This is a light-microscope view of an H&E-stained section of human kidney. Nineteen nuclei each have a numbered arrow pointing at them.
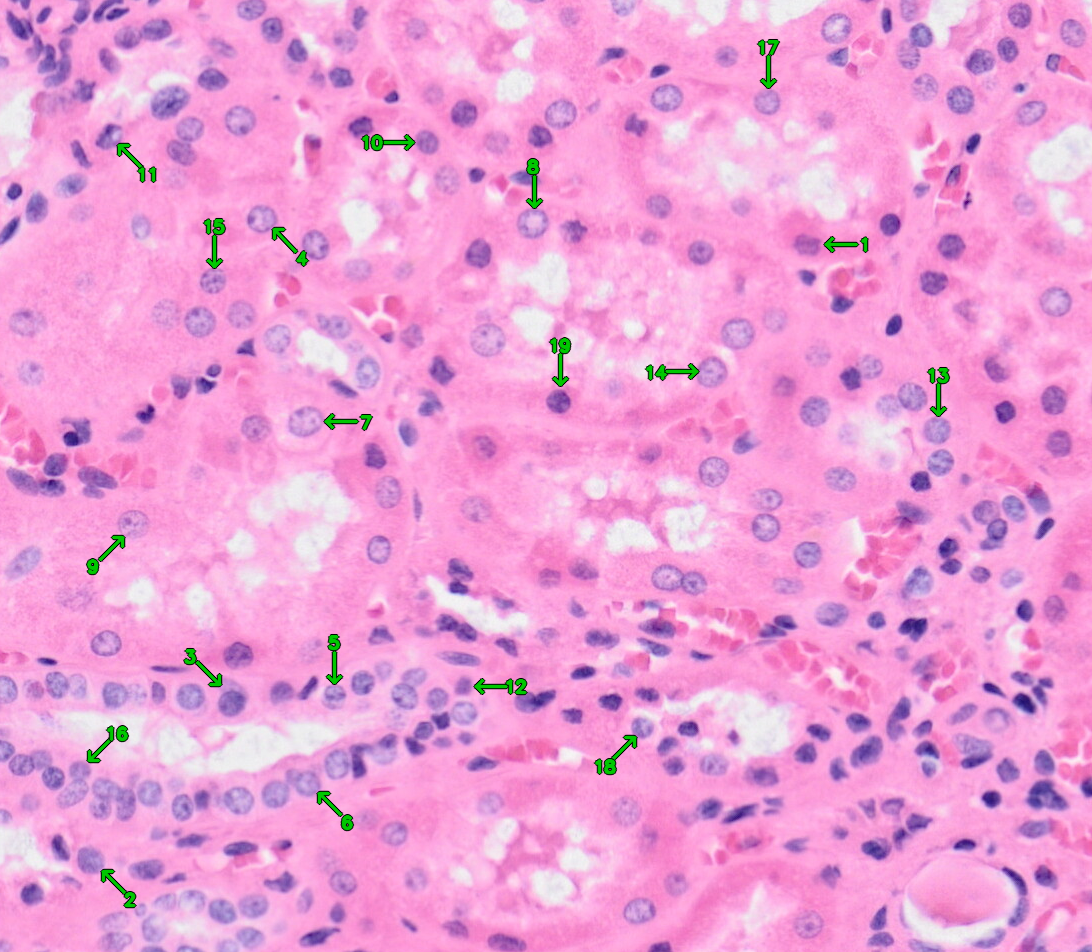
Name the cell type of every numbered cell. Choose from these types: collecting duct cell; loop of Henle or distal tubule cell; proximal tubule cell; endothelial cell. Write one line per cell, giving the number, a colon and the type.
1: proximal tubule cell
2: loop of Henle or distal tubule cell
3: collecting duct cell
4: proximal tubule cell
5: collecting duct cell
6: collecting duct cell
7: proximal tubule cell
8: proximal tubule cell
9: proximal tubule cell
10: proximal tubule cell
11: loop of Henle or distal tubule cell
12: collecting duct cell
13: loop of Henle or distal tubule cell
14: proximal tubule cell
15: proximal tubule cell
16: collecting duct cell
17: proximal tubule cell
18: loop of Henle or distal tubule cell
19: proximal tubule cell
